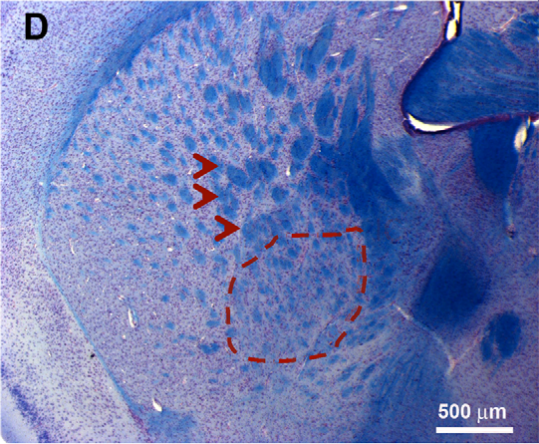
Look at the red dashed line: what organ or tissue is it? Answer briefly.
globus pallidus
